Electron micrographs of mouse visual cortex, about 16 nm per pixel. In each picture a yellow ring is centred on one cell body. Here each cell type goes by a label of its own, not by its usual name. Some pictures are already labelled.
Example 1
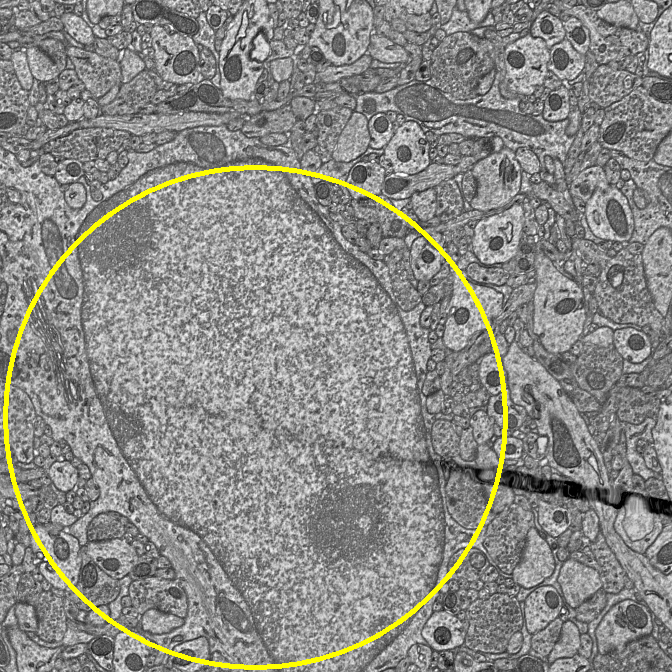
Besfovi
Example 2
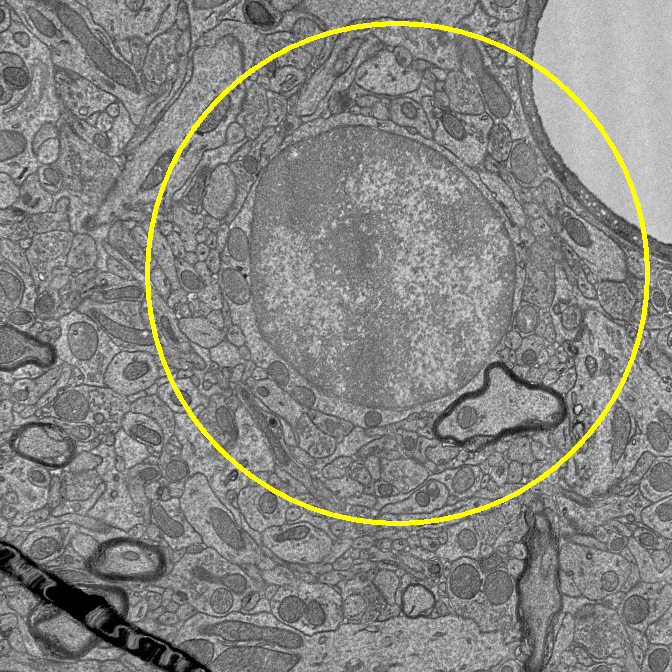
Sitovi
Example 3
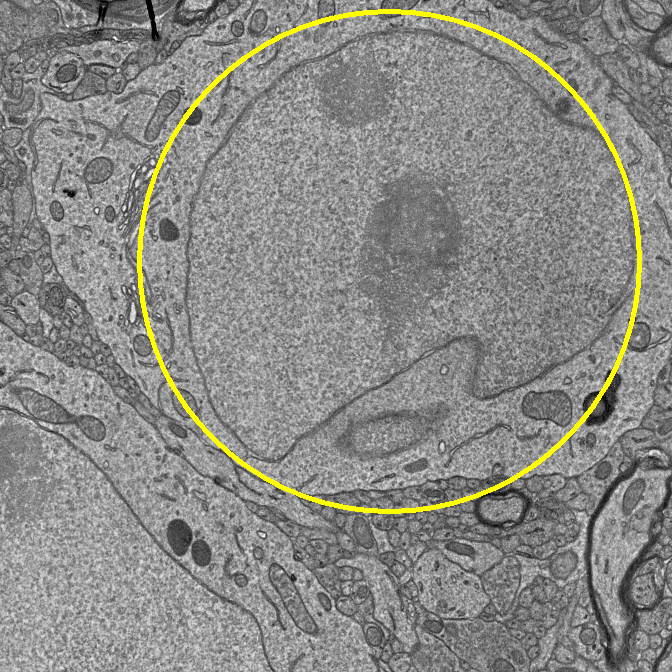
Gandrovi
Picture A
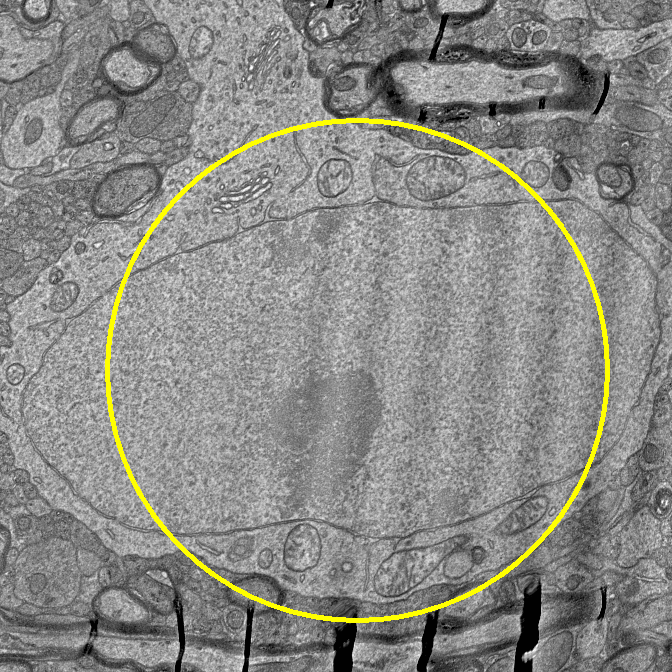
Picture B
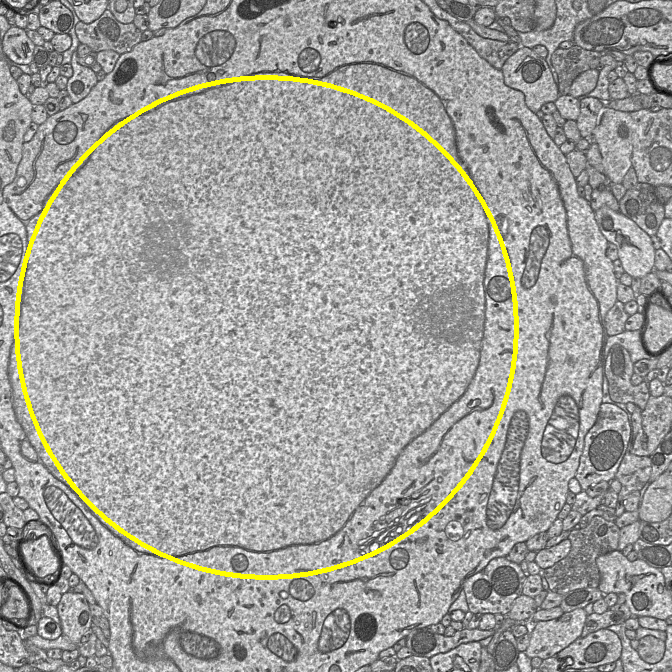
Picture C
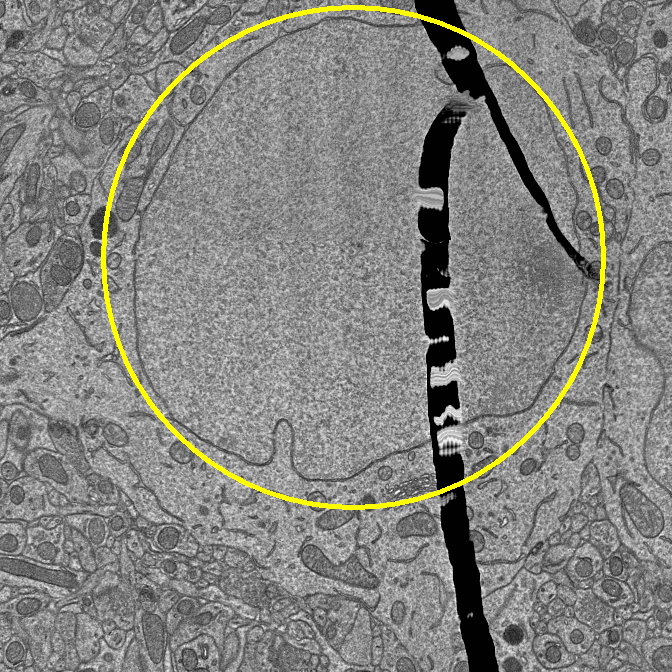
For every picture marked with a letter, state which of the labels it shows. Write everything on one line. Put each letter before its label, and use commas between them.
A Gandrovi, B Gandrovi, C Gandrovi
